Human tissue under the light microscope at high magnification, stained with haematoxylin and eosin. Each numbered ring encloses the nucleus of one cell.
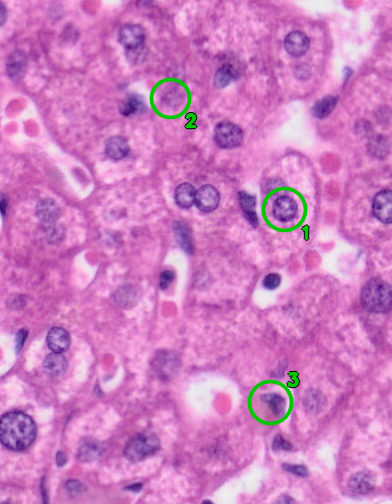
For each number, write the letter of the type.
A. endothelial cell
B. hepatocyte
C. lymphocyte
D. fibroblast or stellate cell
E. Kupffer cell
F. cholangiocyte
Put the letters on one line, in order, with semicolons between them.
B; B; E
